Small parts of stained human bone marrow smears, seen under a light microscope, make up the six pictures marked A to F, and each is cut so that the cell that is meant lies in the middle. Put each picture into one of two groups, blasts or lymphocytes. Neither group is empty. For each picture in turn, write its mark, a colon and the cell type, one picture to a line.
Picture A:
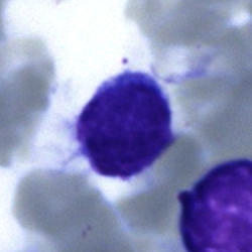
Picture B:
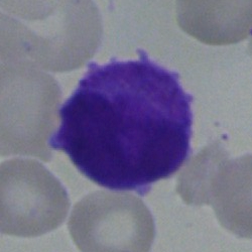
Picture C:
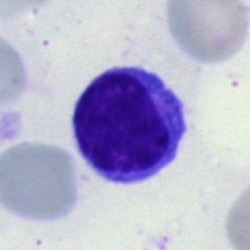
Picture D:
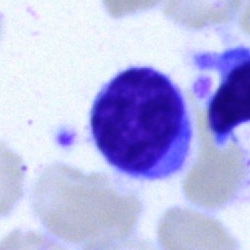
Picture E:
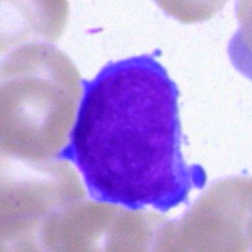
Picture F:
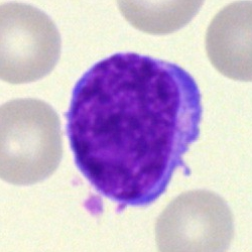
A: lymphocyte
B: blast
C: lymphocyte
D: lymphocyte
E: blast
F: blast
